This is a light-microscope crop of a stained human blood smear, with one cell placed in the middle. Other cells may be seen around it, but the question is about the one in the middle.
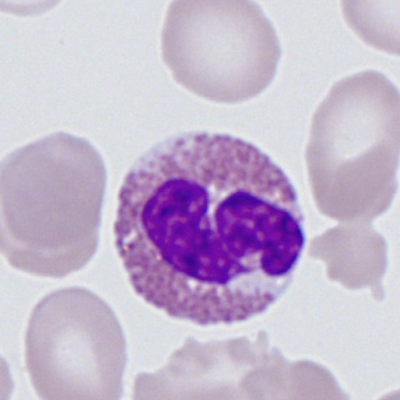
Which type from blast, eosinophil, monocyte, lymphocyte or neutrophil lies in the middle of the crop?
eosinophil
